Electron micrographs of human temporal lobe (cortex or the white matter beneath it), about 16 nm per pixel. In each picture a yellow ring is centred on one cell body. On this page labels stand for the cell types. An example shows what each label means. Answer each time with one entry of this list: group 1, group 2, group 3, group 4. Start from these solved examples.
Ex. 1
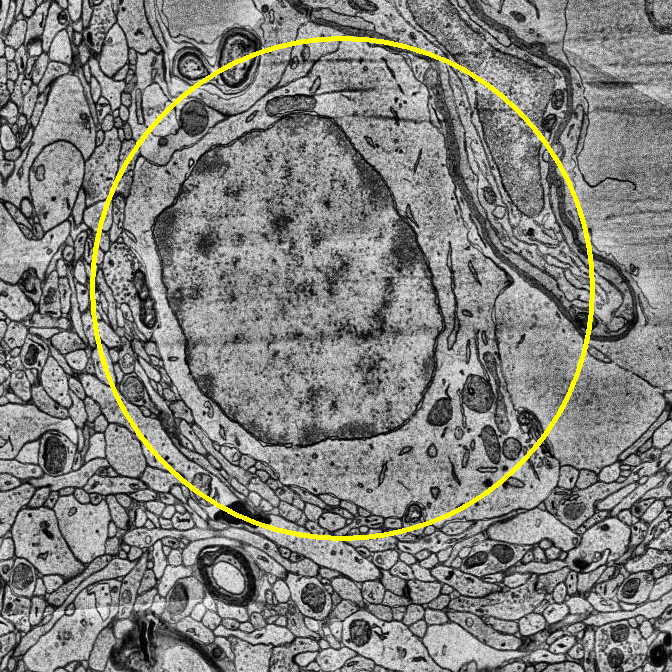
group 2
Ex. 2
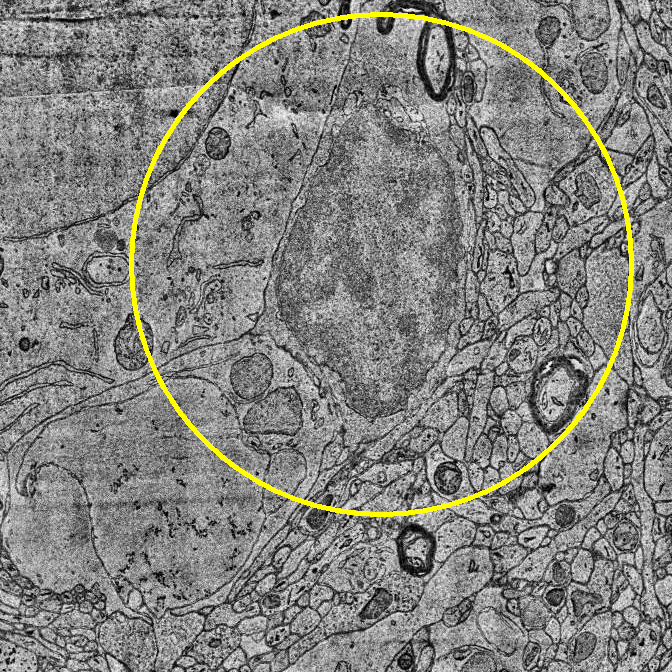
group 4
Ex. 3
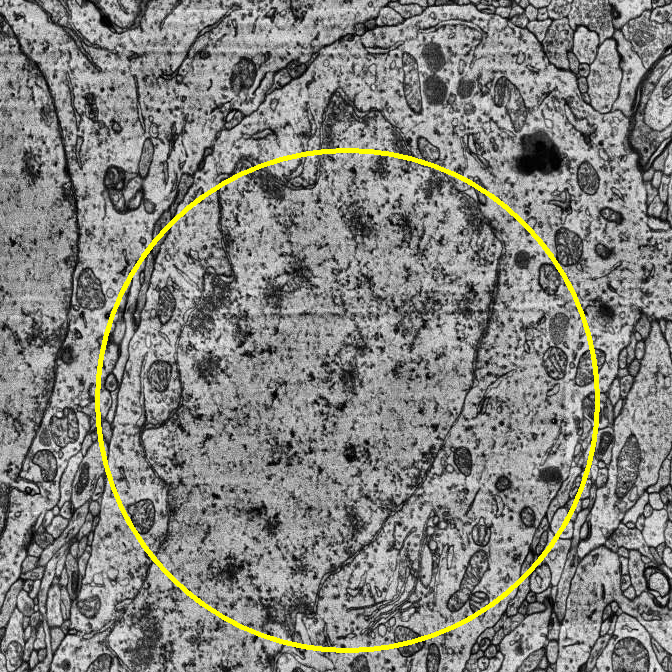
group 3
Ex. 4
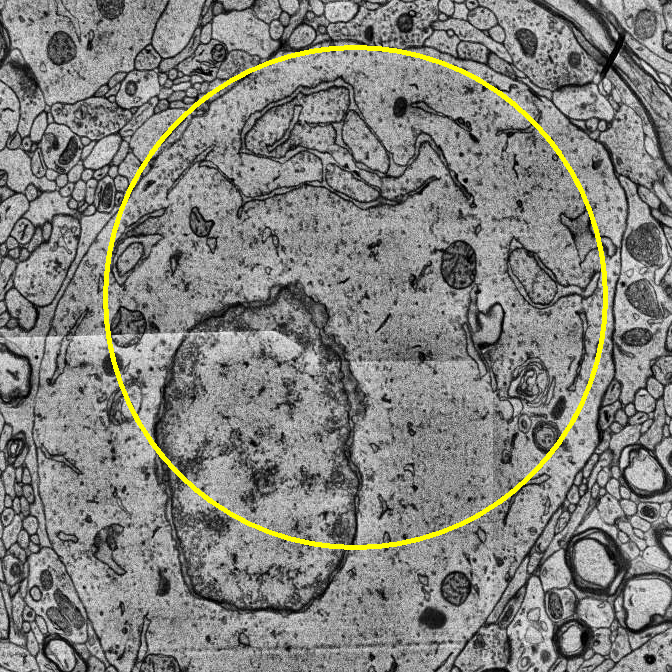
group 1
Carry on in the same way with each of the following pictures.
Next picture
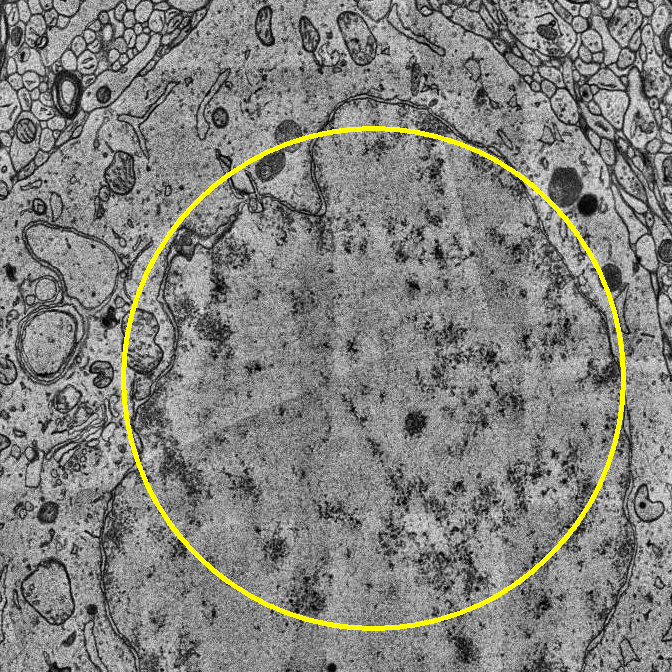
group 3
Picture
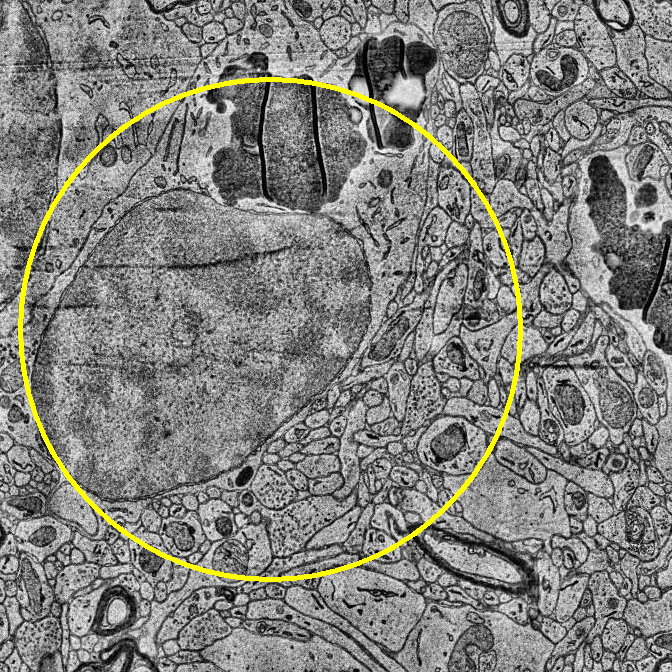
group 2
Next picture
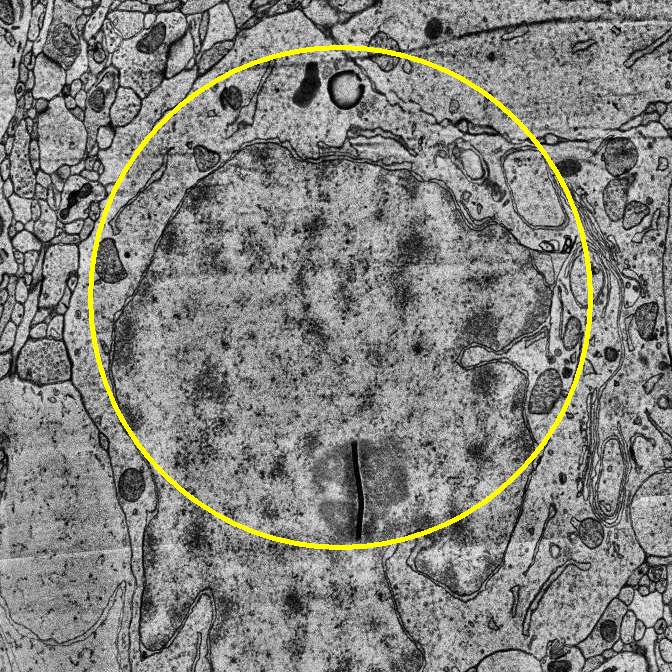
group 3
